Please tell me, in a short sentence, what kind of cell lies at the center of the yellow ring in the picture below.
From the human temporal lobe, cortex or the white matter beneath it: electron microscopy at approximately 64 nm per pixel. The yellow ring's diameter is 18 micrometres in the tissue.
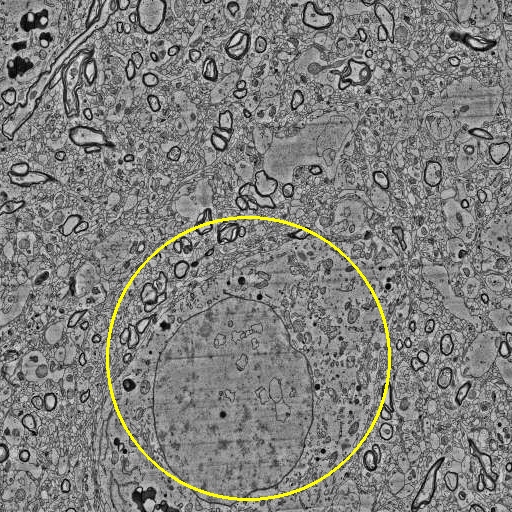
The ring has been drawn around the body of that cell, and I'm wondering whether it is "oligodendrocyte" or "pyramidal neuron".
The cell at the center of the ring is a pyramidal neuron.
